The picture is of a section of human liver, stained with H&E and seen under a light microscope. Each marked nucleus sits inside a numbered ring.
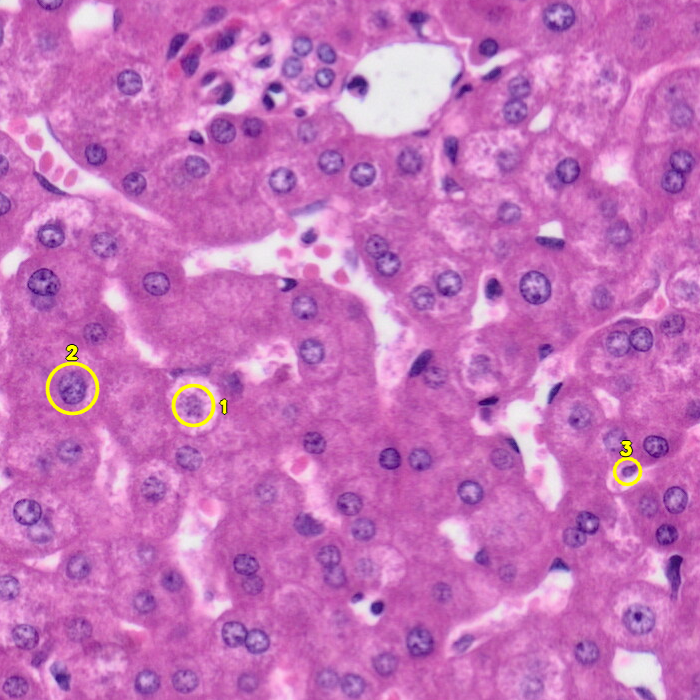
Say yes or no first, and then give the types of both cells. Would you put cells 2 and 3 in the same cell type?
No, cell 2 is a hepatocyte and cell 3 is a Kupffer cell.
